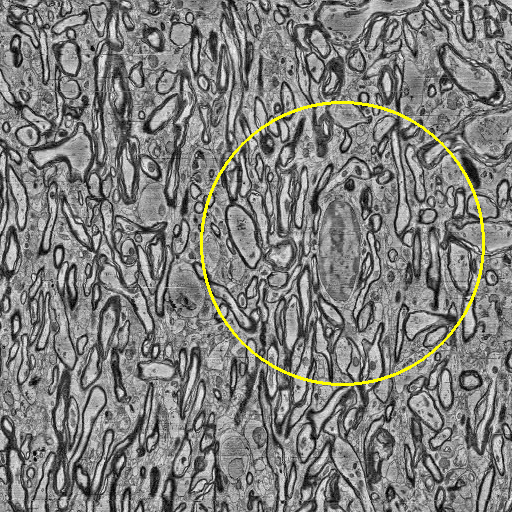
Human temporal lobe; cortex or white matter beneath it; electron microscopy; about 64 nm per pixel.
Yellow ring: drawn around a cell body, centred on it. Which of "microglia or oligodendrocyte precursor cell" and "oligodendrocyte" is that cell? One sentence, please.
That cell body is from a microglial cell or oligodendrocyte precursor cell.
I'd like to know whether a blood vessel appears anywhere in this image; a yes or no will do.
No, there is no blood vessel.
